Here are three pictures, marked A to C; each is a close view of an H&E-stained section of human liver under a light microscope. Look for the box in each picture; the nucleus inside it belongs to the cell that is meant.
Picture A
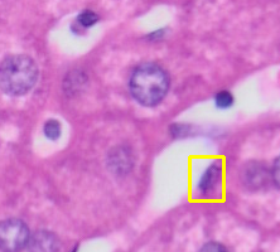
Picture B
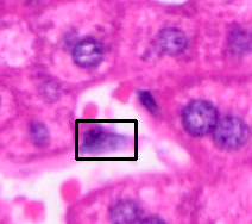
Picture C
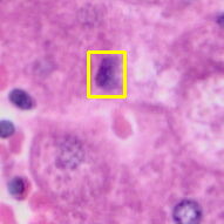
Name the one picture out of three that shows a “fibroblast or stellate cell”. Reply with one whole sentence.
The cell in picture C is the “fibroblast or stellate cell”.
